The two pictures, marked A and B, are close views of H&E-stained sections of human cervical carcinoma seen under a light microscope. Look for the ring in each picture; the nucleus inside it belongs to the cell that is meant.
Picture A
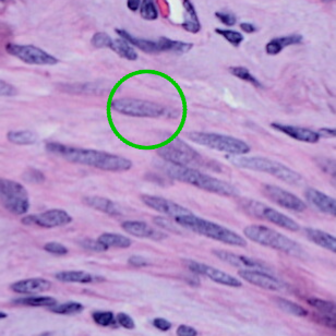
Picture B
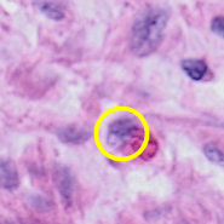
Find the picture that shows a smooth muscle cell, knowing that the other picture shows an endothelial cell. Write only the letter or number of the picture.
A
